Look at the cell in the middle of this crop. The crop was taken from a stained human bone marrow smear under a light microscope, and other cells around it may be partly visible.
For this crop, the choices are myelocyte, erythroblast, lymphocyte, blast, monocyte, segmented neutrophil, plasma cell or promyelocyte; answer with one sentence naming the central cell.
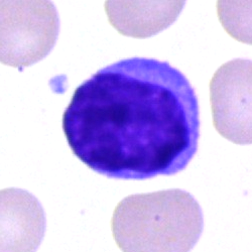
As for the cell in the middle, it is a lymphocyte.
